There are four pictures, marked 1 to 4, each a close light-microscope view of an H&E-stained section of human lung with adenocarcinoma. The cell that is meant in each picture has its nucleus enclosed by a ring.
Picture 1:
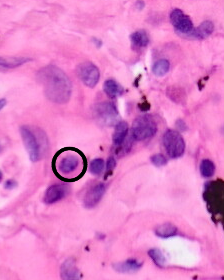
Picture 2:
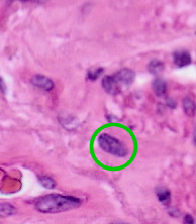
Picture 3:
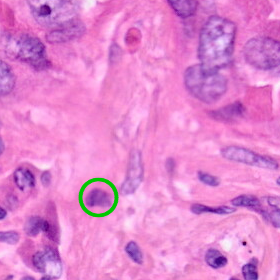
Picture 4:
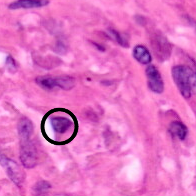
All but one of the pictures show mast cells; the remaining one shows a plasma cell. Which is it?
4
